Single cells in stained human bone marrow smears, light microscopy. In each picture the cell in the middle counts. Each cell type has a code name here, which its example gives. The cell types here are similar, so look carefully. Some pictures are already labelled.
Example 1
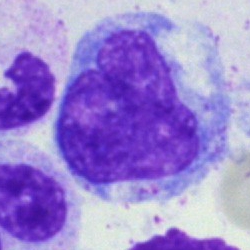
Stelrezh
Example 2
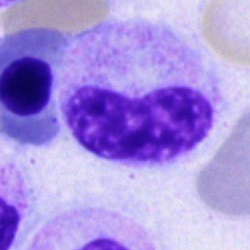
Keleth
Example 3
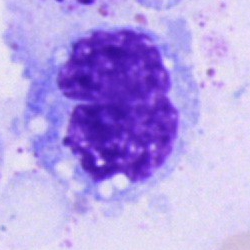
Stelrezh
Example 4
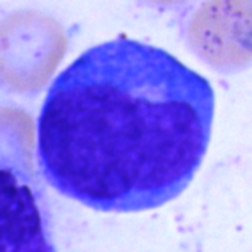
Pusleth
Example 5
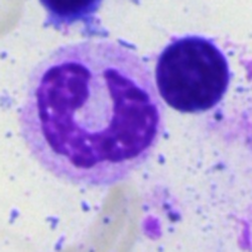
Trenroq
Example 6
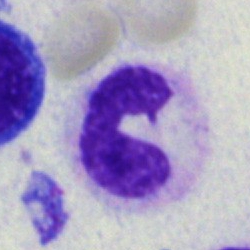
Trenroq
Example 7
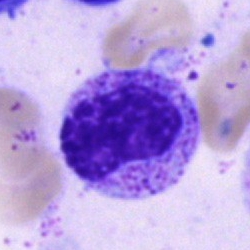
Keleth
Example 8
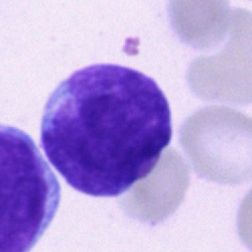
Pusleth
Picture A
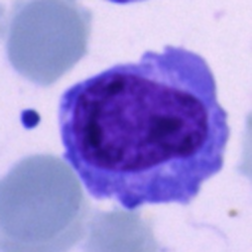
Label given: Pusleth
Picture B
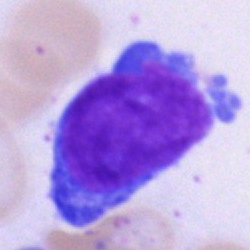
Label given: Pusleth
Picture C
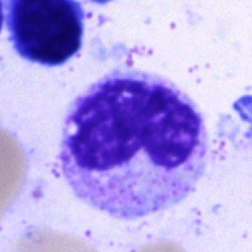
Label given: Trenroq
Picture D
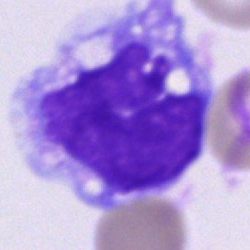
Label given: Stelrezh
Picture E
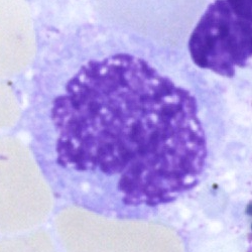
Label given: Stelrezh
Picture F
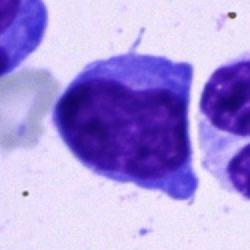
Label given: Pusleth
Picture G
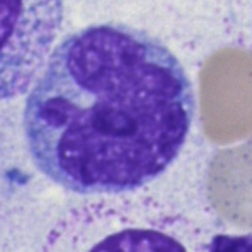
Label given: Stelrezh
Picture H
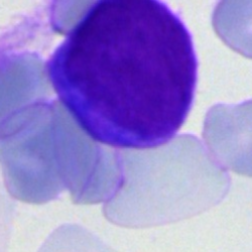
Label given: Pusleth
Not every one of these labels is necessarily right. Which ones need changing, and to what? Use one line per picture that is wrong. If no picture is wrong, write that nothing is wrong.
C: Keleth, not Trenroq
